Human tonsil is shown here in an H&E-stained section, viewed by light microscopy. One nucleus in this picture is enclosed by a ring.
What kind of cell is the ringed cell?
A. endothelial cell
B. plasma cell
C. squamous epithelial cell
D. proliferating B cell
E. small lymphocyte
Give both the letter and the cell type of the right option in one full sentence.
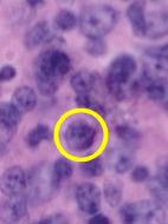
Option D is right, and the ringed cell is a proliferating B cell.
